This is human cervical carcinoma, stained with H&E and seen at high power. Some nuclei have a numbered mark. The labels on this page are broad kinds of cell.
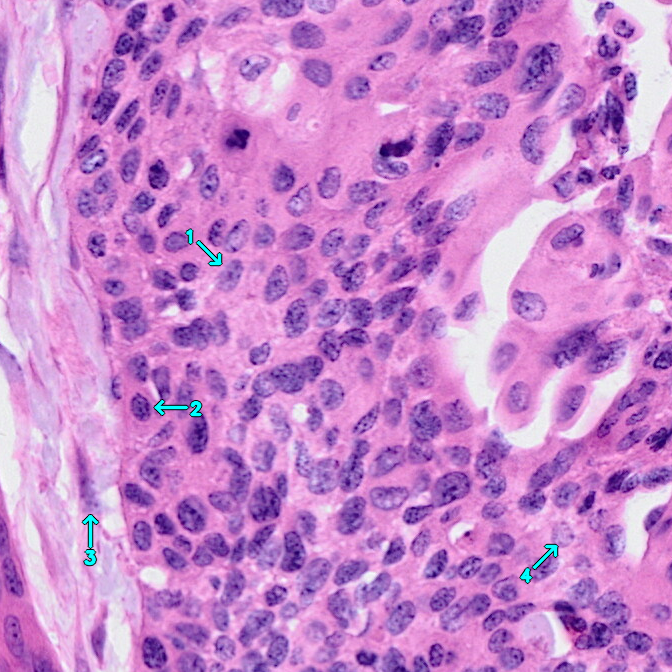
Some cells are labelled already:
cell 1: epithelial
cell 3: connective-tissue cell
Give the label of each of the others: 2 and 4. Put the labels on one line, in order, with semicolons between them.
epithelial; epithelial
